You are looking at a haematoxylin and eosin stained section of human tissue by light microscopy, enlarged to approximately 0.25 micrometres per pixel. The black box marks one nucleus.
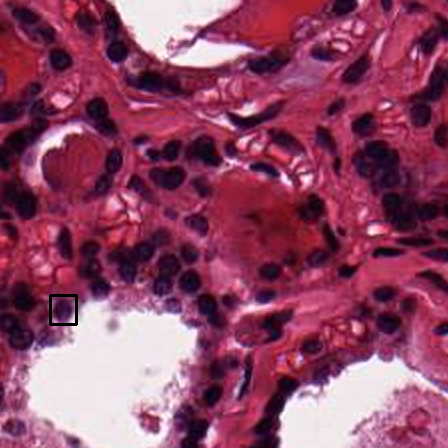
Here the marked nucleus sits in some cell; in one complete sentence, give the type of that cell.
What the marked nucleus belongs to is a thyroid follicular cell.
